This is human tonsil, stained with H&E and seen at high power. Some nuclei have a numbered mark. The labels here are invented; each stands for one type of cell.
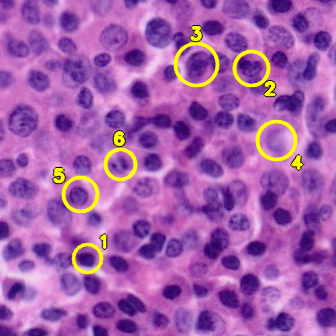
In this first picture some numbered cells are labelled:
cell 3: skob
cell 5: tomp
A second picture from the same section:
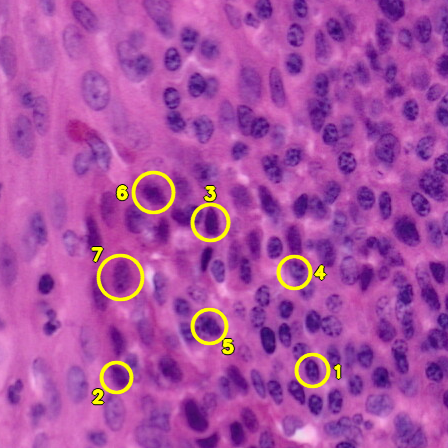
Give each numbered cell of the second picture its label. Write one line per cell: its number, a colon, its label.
1: tomp
2: skob
3: skob
4: tomp
5: tomp
6: skob
7: skob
